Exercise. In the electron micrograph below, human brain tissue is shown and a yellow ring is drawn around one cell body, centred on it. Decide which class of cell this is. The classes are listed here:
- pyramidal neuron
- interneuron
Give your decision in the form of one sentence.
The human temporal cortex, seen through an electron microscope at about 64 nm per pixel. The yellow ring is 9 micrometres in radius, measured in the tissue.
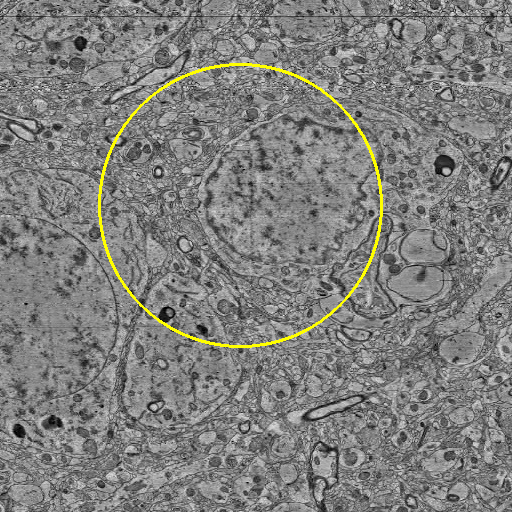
The cell body marked by the ring belongs to an interneuron.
